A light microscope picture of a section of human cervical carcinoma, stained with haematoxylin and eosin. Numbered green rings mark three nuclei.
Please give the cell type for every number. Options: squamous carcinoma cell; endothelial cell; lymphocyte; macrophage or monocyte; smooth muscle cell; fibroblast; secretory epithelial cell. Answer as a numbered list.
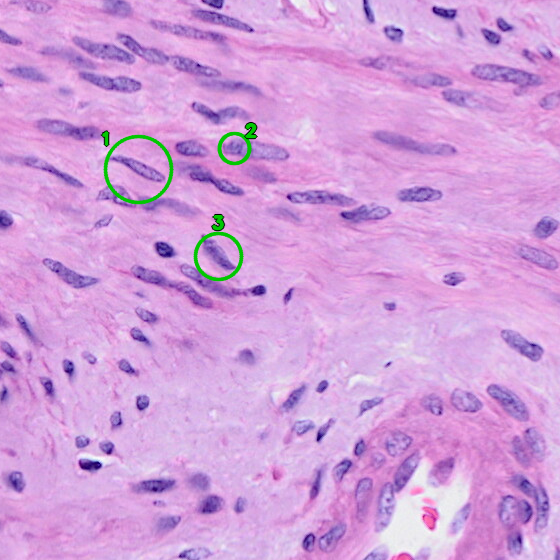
1. smooth muscle cell
2. smooth muscle cell
3. fibroblast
